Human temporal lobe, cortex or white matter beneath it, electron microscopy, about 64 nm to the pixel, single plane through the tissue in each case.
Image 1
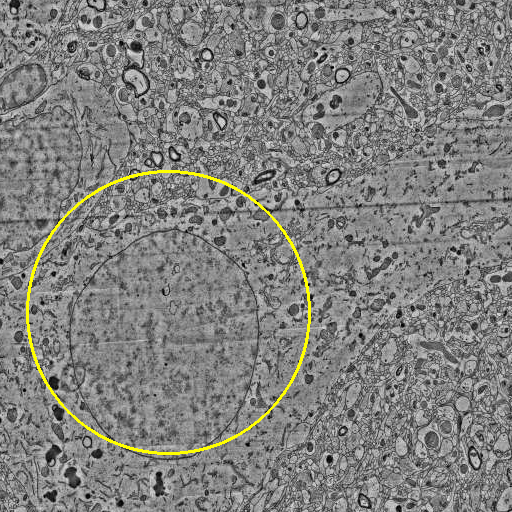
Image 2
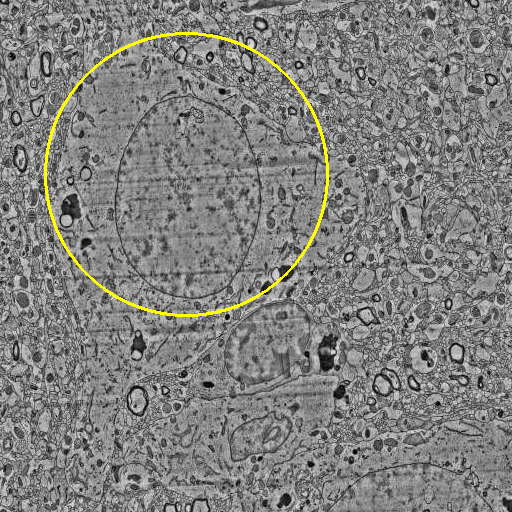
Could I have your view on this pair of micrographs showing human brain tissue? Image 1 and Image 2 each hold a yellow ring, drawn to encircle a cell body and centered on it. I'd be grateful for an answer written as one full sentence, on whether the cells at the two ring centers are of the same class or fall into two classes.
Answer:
The cells at the centers of the two rings are of the same class.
